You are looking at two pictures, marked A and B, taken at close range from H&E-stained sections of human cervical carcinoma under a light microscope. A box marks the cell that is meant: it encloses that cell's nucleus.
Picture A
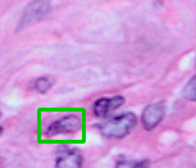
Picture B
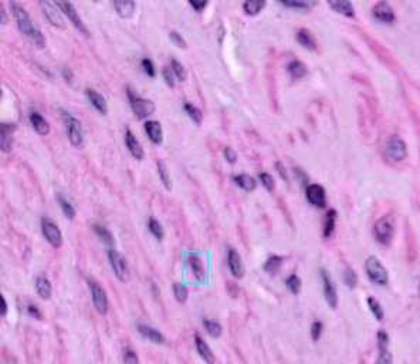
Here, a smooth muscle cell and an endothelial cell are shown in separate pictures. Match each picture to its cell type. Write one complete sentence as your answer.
In picture A the cell is an endothelial cell; in picture B, a smooth muscle cell.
